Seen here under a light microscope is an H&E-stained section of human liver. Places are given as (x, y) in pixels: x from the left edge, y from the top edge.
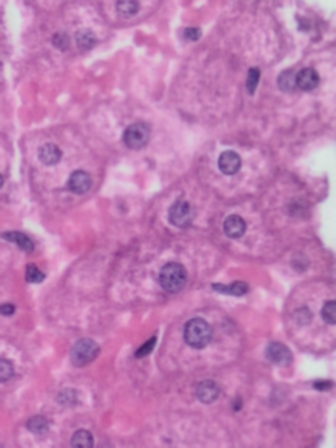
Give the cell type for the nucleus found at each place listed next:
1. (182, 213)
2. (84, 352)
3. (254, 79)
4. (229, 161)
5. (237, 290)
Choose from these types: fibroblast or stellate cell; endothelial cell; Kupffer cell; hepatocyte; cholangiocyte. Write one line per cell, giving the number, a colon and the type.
1: hepatocyte
2: endothelial cell
3: fibroblast or stellate cell
4: hepatocyte
5: Kupffer cell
